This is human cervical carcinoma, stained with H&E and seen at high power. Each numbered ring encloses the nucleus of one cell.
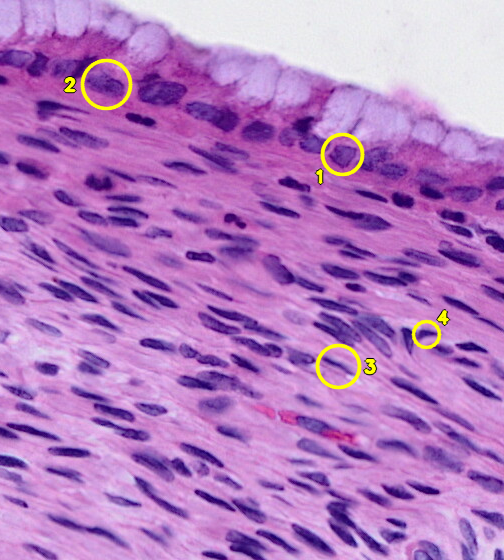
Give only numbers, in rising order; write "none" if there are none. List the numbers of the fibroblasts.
3, 4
